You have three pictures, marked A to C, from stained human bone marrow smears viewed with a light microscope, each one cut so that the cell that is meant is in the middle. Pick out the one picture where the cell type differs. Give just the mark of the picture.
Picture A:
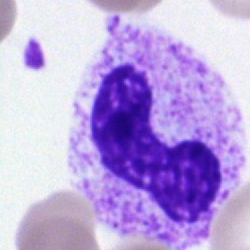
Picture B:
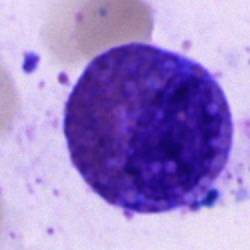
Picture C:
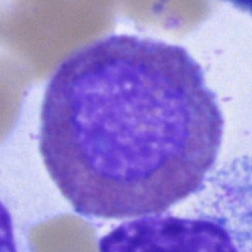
A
